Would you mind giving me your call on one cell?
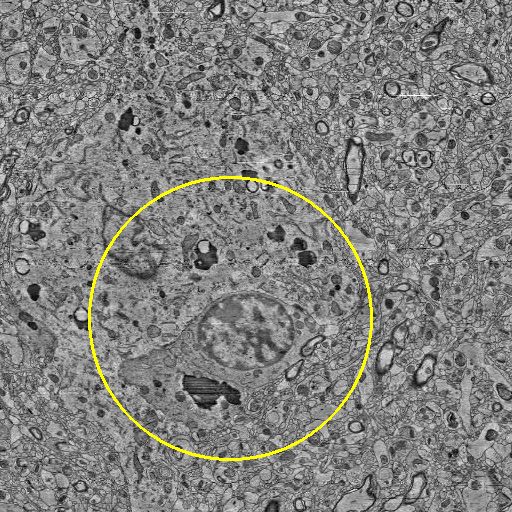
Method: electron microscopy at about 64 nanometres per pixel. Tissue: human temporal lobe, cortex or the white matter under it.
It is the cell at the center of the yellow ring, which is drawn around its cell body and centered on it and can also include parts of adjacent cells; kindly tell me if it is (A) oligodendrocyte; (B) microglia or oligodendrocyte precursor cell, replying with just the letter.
A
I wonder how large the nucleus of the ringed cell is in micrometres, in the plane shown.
Approximately 6 micrometres long and 5 micrometres wide, in this plane.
